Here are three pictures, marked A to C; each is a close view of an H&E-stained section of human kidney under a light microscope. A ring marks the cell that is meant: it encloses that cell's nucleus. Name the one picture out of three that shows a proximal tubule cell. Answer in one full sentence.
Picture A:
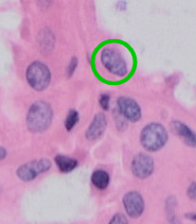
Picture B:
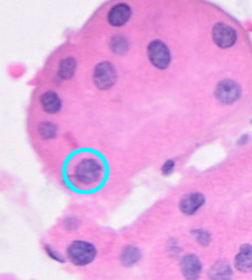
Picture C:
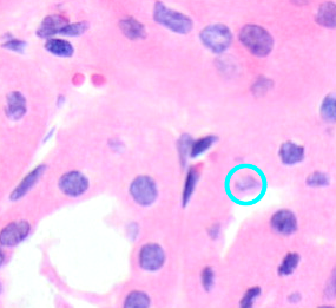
Picture B is the one that shows the proximal tubule cell.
